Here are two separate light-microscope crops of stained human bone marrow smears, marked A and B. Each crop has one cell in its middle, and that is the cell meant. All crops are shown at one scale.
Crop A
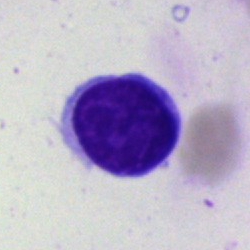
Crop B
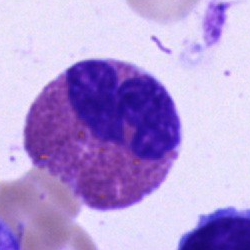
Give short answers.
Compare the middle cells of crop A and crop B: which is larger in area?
B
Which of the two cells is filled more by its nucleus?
A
